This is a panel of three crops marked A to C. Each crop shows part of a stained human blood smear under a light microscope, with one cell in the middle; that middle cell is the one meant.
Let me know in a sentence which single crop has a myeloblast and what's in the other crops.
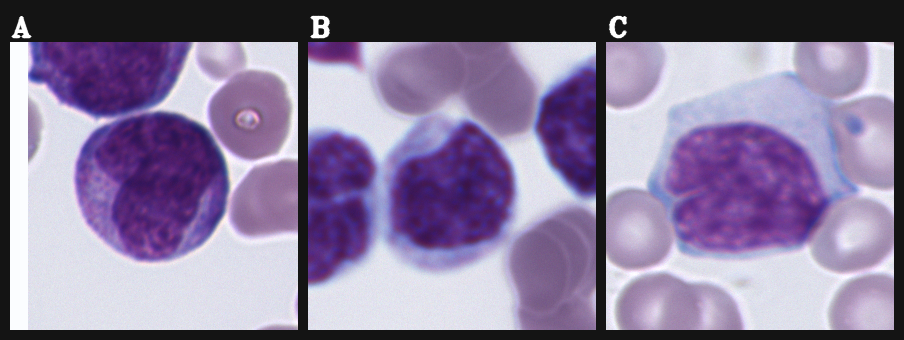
On inspection, crop C shows a myeloblast, while crop A is an atypical promyelocyte and crop B is a monocyte.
